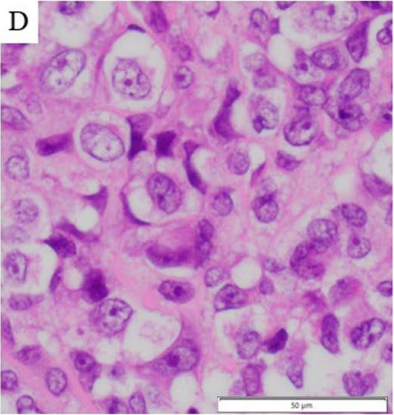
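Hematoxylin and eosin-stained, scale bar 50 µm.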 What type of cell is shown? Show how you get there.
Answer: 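Large cells with big oval nuclei and prominent nucleoli. Abundant pale to pink cytoplasm. Cells lie packed together with no glands, rosettes or keratin.
Answer: large tumor cells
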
